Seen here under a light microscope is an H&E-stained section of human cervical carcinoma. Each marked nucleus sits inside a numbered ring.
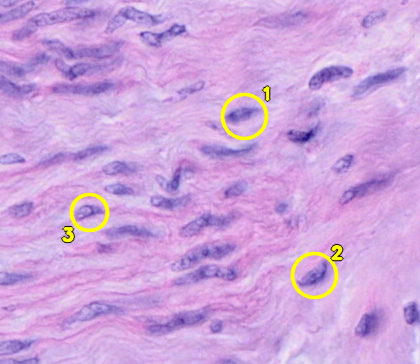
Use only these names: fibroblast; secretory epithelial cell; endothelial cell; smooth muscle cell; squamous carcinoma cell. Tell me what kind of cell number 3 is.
smooth muscle cell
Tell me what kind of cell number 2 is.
fibroblast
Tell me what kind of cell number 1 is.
fibroblast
